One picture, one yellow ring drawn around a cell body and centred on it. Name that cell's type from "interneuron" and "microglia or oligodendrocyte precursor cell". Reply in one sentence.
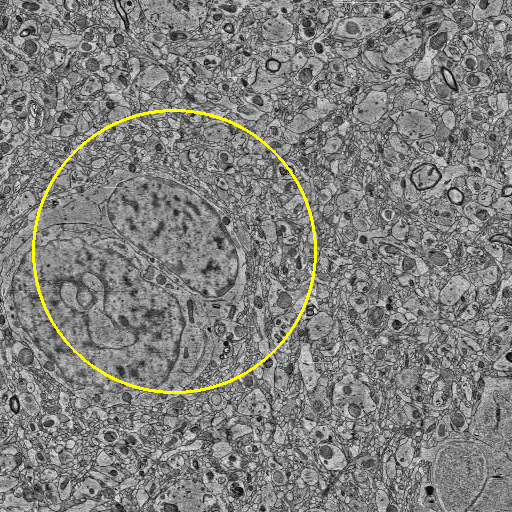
Centred in the ring is a microglial cell or oligodendrocyte precursor cell.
